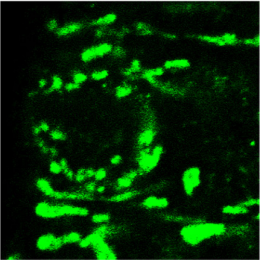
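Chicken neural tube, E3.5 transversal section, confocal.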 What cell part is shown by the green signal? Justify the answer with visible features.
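Many small discrete green dots and short rods. The dots ring a dark rounded area.
Hence: mitochondria.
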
